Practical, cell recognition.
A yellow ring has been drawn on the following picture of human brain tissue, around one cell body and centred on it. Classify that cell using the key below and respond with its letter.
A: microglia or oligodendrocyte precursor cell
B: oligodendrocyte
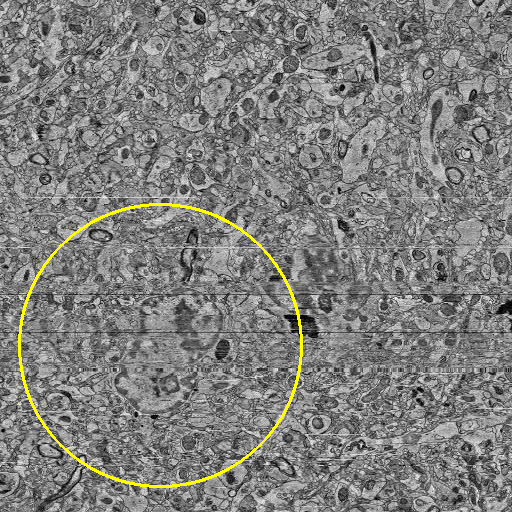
A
